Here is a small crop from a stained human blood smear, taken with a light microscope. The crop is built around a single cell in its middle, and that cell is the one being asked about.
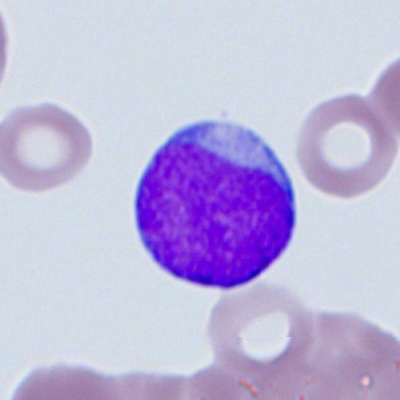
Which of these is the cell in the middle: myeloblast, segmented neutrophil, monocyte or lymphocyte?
myeloblast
